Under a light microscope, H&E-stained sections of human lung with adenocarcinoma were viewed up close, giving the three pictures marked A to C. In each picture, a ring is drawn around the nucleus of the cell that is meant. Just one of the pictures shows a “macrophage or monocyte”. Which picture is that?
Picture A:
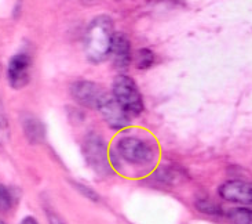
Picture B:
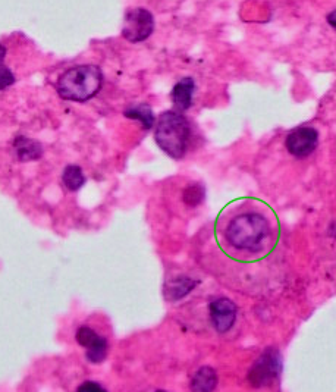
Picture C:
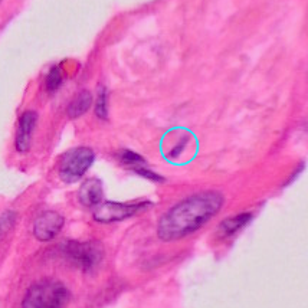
B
